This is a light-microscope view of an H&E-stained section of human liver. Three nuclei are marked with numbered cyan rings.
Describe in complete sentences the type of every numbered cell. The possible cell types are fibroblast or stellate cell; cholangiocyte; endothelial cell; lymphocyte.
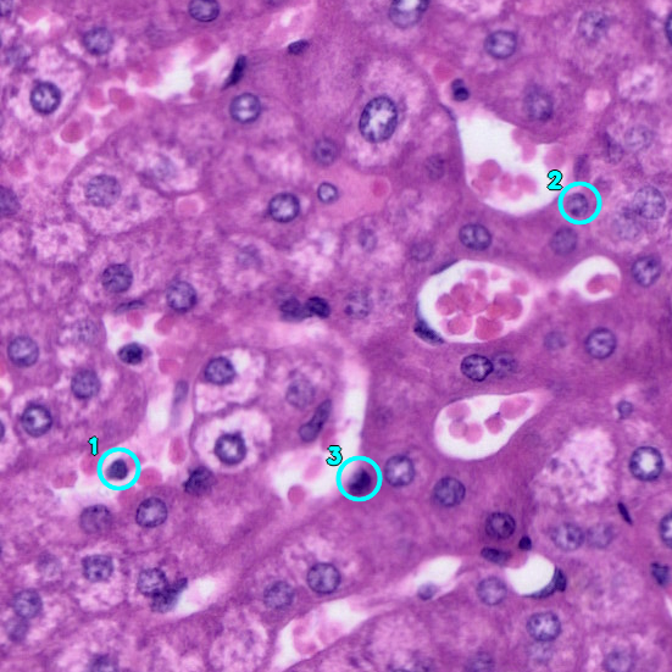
Cell 1 is a lymphocyte, cell 2 is a cholangiocyte and cell 3 is a fibroblast or stellate cell.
